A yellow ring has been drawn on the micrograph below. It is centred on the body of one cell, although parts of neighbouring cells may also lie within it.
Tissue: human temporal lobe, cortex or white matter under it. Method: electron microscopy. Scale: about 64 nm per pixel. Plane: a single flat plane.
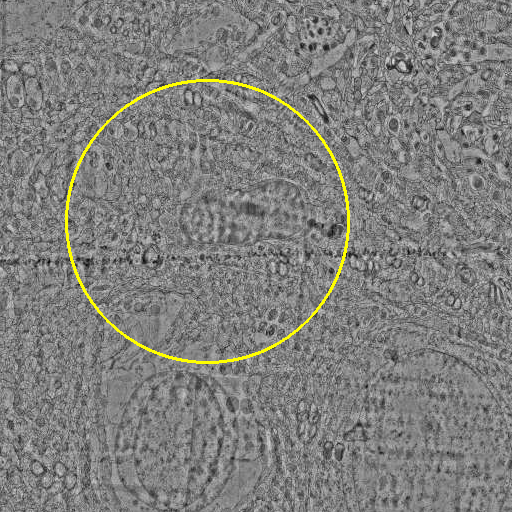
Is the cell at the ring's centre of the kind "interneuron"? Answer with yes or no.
no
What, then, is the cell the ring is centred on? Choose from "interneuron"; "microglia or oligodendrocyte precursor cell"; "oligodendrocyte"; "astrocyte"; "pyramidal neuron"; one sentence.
The cell in the ring is a microglial cell or oligodendrocyte precursor cell instead.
